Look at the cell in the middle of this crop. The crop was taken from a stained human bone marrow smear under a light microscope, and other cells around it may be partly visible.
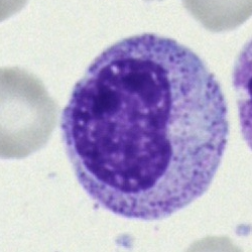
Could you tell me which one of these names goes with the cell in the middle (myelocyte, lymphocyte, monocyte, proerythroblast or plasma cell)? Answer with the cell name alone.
myelocyte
